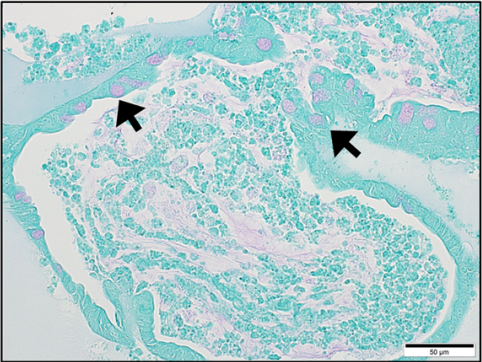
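The wall is a single layer of columnar cells stained blue-green, and within it sit rounded cells filled with magenta material, spaced apart along the layer. The enclosed lumen is crowded with loose, rounded, shed cells and debris, also mostly blue-green with some faint pink. The epithelium is folded and thickened in places, and a pale blue-green matrix surrounds the outside of the structure.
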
